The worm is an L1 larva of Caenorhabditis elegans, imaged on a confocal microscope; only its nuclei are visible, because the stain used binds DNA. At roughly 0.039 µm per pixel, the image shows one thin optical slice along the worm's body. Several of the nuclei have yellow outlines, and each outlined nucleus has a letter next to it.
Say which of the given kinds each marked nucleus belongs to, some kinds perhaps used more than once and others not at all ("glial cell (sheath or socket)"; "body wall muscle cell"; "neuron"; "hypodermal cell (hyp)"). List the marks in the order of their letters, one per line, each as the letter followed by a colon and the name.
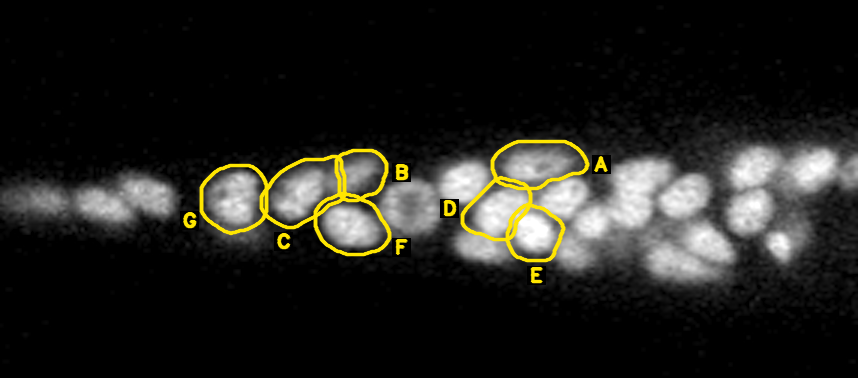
A: body wall muscle cell
B: hypodermal cell (hyp)
C: hypodermal cell (hyp)
D: glial cell (sheath or socket)
E: neuron
F: neuron
G: hypodermal cell (hyp)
